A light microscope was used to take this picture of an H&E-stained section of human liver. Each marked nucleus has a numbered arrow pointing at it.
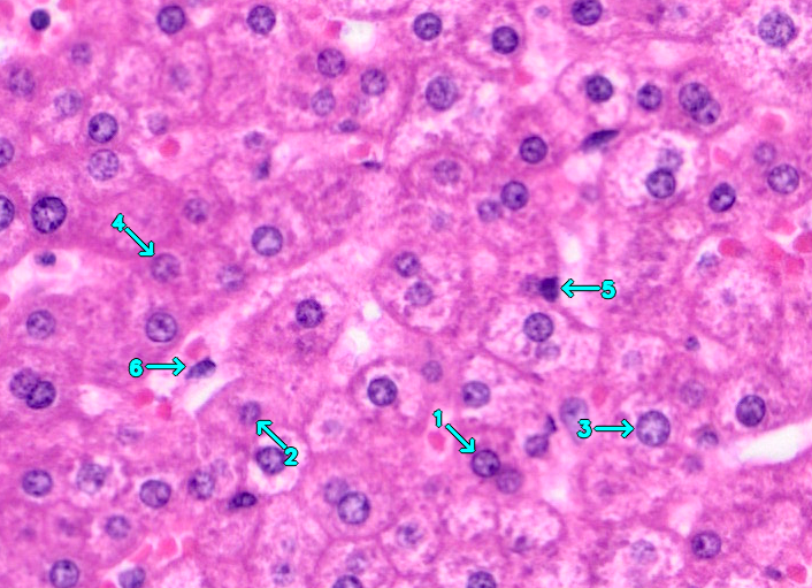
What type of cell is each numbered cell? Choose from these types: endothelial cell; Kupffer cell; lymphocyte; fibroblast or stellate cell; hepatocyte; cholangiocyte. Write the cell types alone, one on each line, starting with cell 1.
hepatocyte
hepatocyte
hepatocyte
hepatocyte
fibroblast or stellate cell
endothelial cell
